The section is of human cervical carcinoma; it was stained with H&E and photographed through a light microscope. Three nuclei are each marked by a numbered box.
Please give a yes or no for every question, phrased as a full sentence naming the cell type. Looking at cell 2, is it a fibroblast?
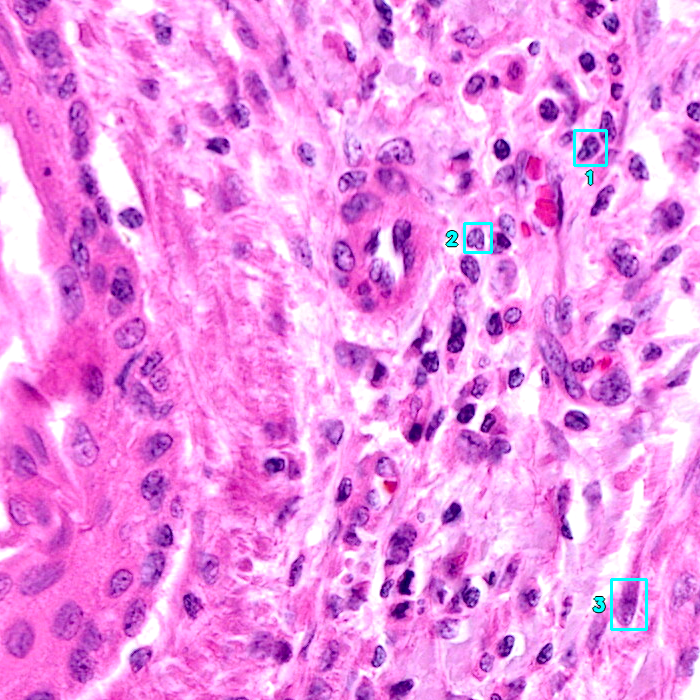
No; cell 2 is a lymphocyte, not a fibroblast.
